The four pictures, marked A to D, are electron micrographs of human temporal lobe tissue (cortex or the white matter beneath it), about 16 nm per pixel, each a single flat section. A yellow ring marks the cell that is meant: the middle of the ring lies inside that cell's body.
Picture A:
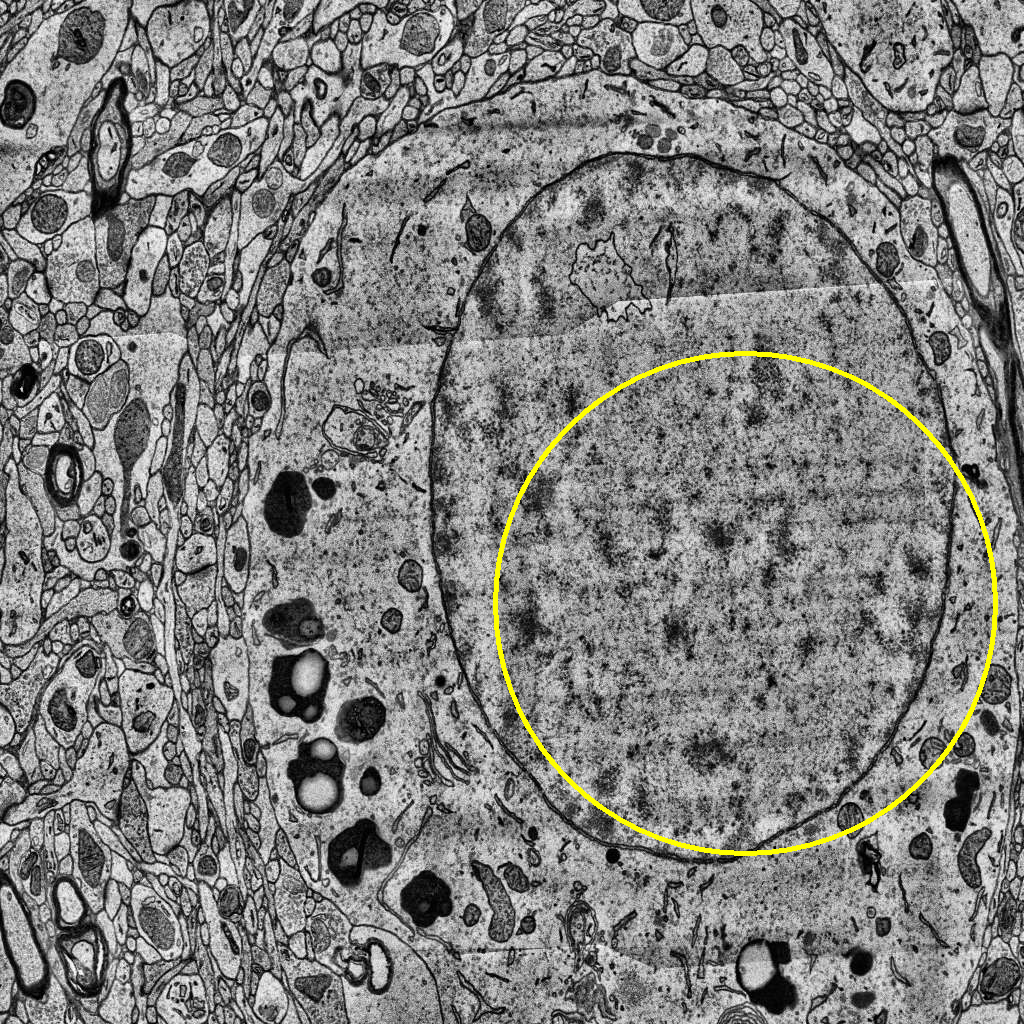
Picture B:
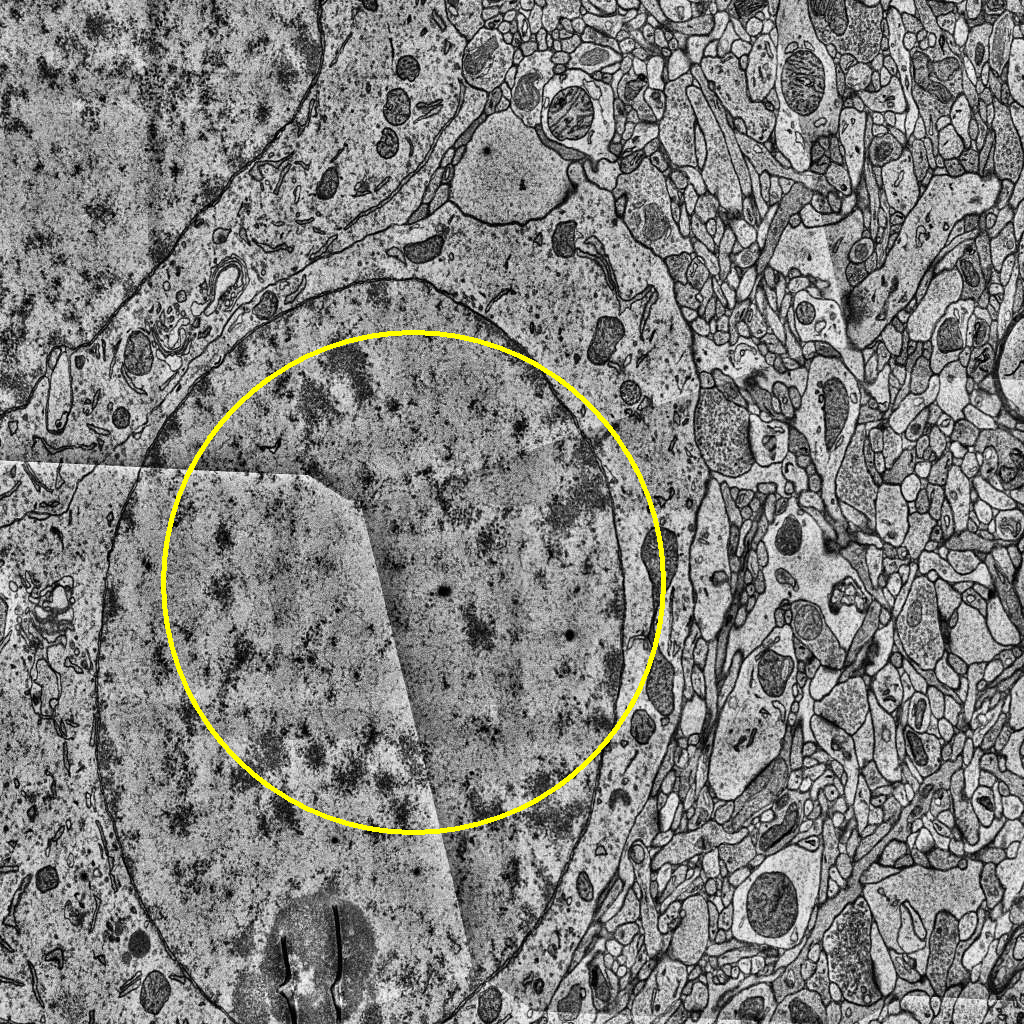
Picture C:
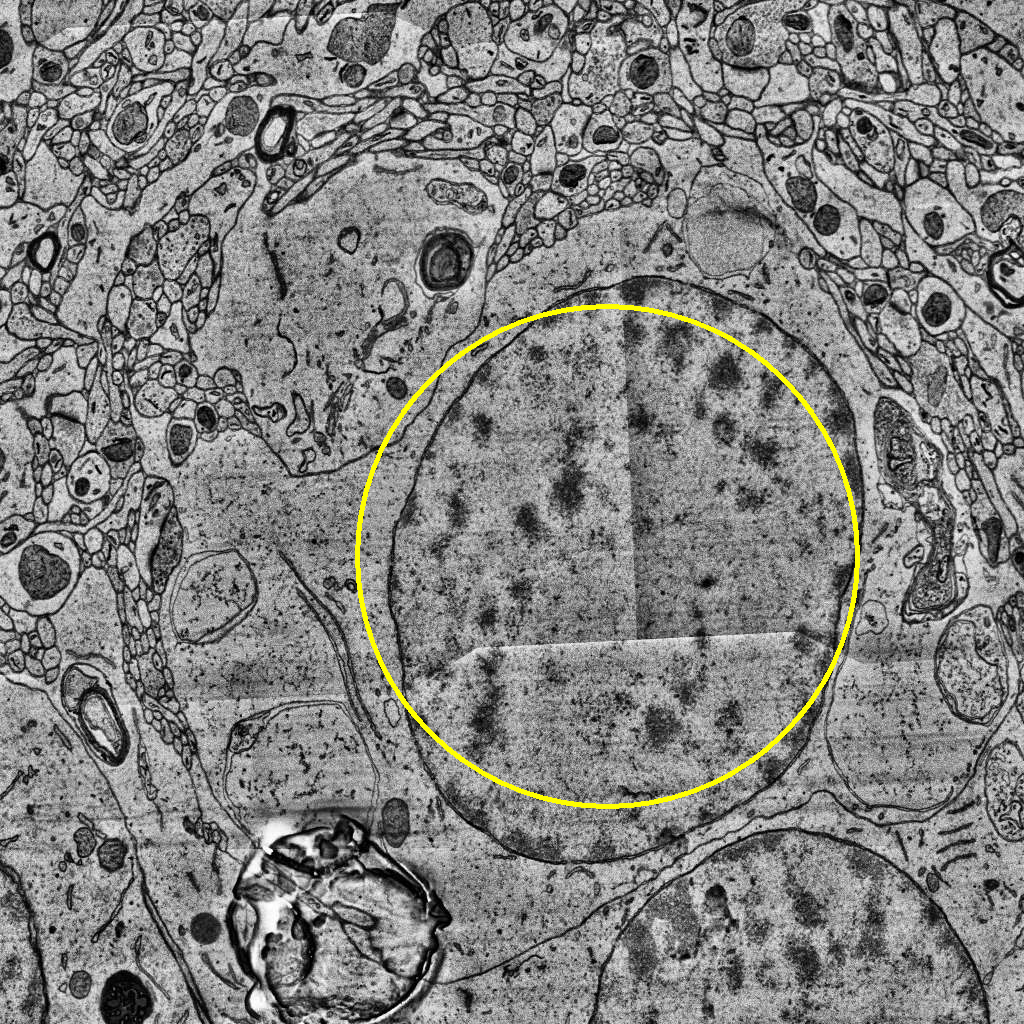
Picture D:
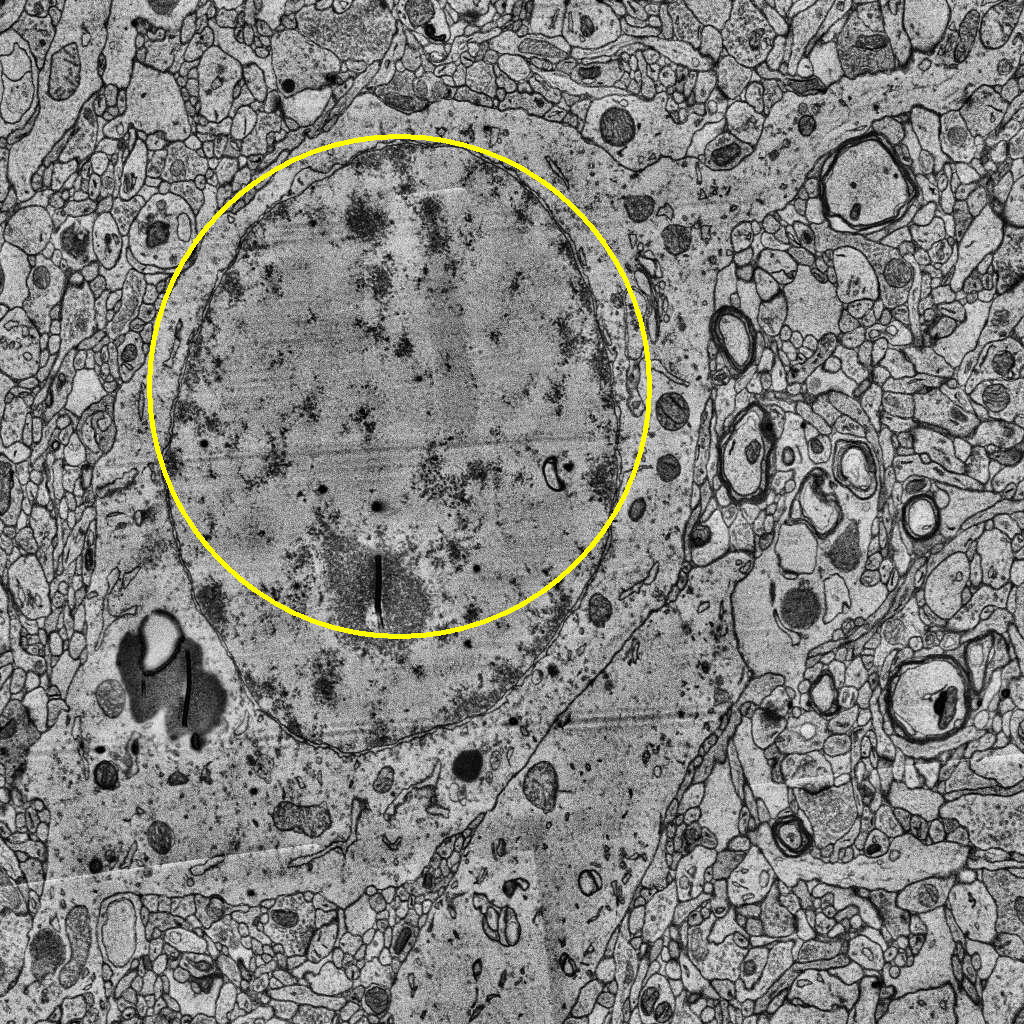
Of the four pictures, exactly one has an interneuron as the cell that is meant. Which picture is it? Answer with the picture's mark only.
D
